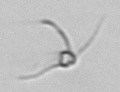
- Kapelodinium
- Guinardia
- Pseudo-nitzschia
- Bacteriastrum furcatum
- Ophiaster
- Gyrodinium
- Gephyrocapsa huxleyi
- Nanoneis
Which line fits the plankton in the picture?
Ophiaster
